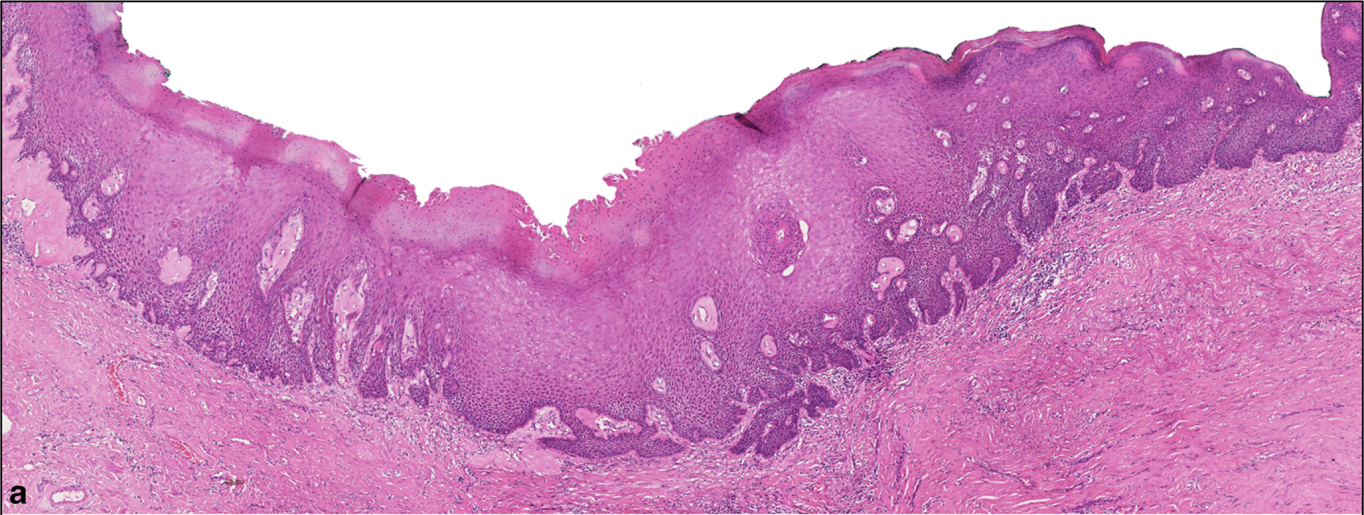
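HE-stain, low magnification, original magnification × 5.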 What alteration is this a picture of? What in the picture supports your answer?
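The squamous epithelium is markedly thickened. The answer: Epithelial acanthosis.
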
